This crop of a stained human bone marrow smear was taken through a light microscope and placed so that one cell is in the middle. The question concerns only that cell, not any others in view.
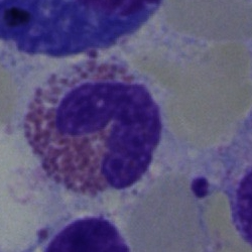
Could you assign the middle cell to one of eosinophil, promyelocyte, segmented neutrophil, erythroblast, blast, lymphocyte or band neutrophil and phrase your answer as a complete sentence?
The cell featured at the centre of this crop is an eosinophil.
